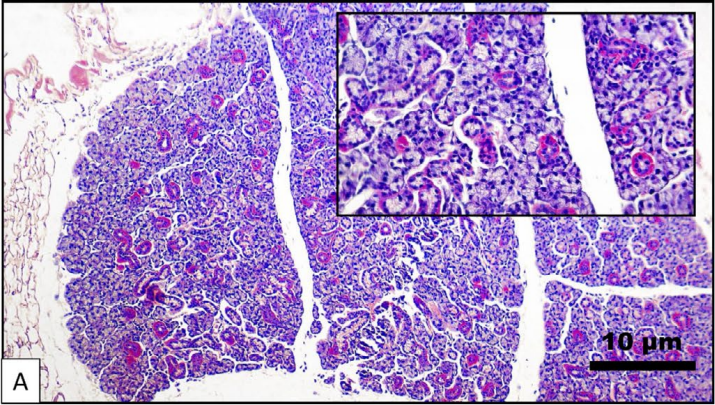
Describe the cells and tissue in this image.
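This is glandular parenchyma of a salivary gland, packed into lobules separated by thin clear septa, with fat tissue at the upper left edge. The lobules are filled with closely set acini of purple-staining secretory cells with round basal nuclei. Scattered among the acini are small ducts with pinker, more eosinophilic walls, seen well in the inset. The tissue looks compact with little stroma between acini.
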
